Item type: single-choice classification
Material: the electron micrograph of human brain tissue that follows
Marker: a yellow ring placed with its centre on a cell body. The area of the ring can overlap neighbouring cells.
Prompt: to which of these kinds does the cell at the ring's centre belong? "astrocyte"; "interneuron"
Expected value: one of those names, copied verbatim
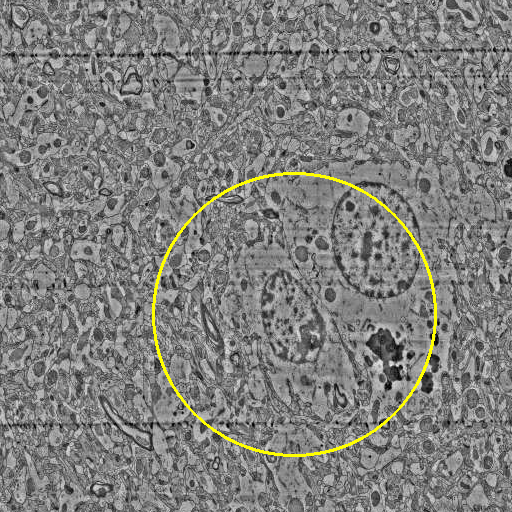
astrocyte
